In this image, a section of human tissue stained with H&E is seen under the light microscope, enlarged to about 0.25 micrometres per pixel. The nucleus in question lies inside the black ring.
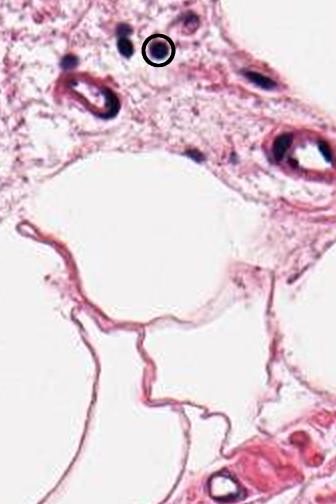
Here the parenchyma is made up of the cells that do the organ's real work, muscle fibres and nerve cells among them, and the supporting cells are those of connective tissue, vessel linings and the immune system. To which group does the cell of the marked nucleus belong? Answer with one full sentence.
The marked nucleus is classified as belonging to a supporting cell.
